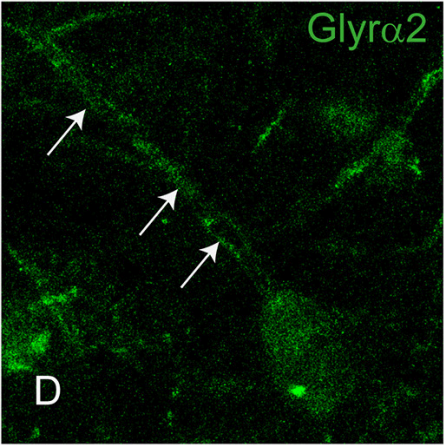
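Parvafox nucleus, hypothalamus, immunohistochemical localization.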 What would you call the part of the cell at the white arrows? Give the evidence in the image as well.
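Dendrites. The arrows point along a thin, elongated process running diagonally across the field. The process leads toward a large cell body at the lower right. The process is lined with small green puncta.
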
